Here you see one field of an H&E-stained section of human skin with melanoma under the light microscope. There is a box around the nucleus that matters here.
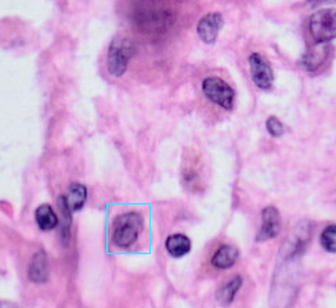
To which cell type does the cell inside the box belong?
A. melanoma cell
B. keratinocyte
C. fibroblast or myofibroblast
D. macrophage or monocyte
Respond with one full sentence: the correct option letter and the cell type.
Option D is the correct one, since the cell inside the box is a macrophage or monocyte.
